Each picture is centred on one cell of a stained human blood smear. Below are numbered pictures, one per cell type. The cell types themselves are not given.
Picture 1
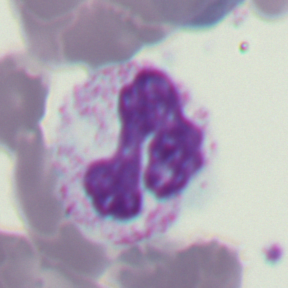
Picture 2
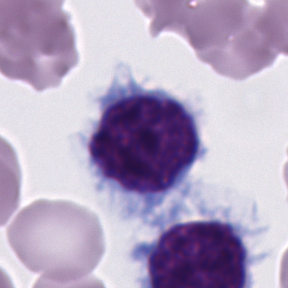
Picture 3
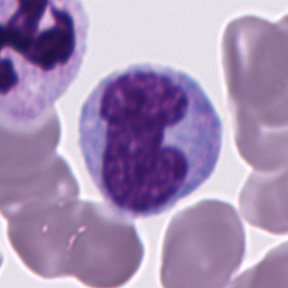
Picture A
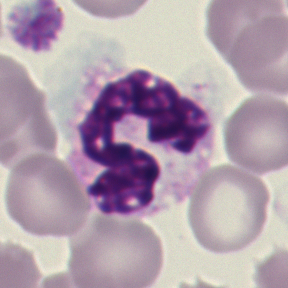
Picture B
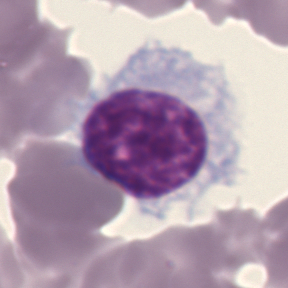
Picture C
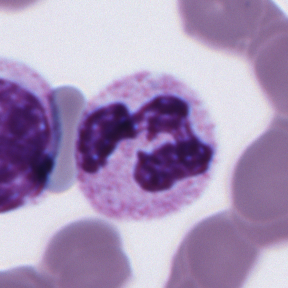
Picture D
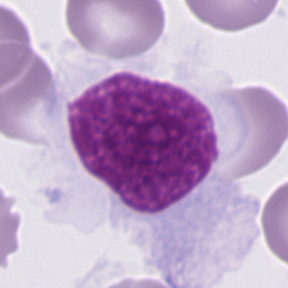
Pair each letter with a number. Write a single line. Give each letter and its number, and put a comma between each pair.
A 1, B 2, C 1, D 2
